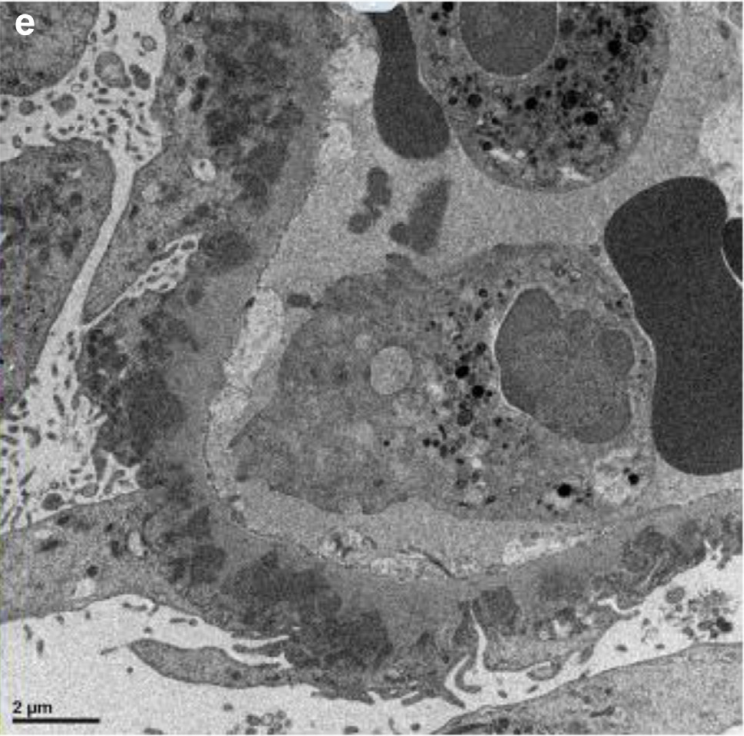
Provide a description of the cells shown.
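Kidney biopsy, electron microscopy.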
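This is a glomerular capillary seen at high magnification, with dark, homogeneous red blood cells and a nucleated cell containing dense granules in the lumen. The capillary wall below and to the left is bordered on its outer side by epithelial cell cytoplasm that forms a broad, flattened sheet rather than discrete foot processes. Along this wall lie dark, irregular, granular masses between the basement membrane and the covering epithelial cytoplasm. These are amorphous subepithelial electron-dense deposits, and the continuous sheet of cytoplasm reflects foot process effacement. Toward the left edge the epithelial surface carries many small finger-like projections into the urinary space, consistent with microvillous transformation.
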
